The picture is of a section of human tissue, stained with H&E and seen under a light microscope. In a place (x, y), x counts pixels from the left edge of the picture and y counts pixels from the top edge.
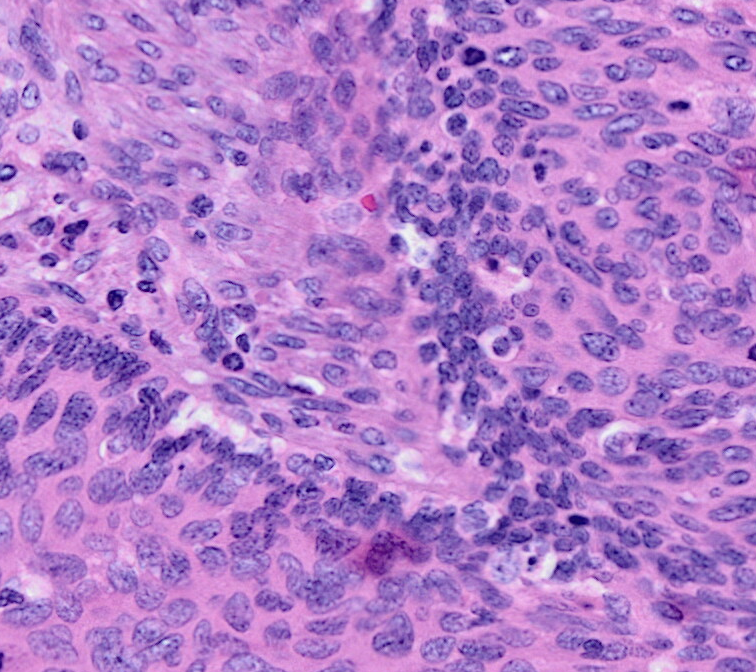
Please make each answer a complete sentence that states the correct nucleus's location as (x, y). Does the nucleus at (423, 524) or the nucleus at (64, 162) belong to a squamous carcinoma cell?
Of the two nuclei, the one sitting at (423, 524) belongs to a squamous carcinoma cell.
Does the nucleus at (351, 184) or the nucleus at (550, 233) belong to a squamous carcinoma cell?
The member of the pair belonging to a squamous carcinoma cell is the nucleus at (550, 233).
